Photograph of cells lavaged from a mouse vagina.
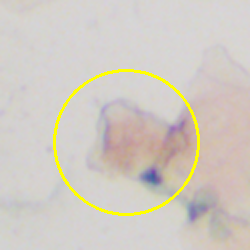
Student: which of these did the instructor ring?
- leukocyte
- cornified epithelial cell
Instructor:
The cell I ringed is a cornified epithelial cell.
